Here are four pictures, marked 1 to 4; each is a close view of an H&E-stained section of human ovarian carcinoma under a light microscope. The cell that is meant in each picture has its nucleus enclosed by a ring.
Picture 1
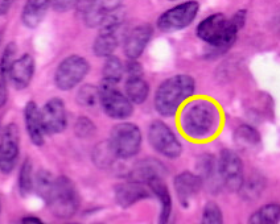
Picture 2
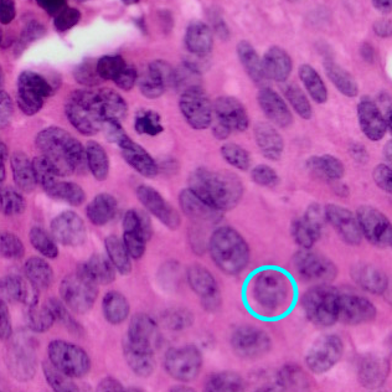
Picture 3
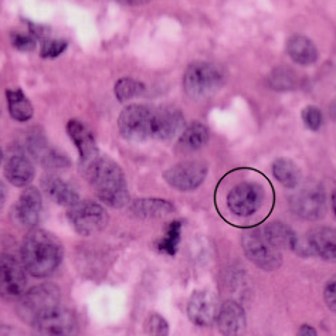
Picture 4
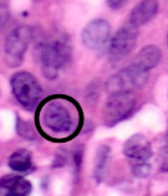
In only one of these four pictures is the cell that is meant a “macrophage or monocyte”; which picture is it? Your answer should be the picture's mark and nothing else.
3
